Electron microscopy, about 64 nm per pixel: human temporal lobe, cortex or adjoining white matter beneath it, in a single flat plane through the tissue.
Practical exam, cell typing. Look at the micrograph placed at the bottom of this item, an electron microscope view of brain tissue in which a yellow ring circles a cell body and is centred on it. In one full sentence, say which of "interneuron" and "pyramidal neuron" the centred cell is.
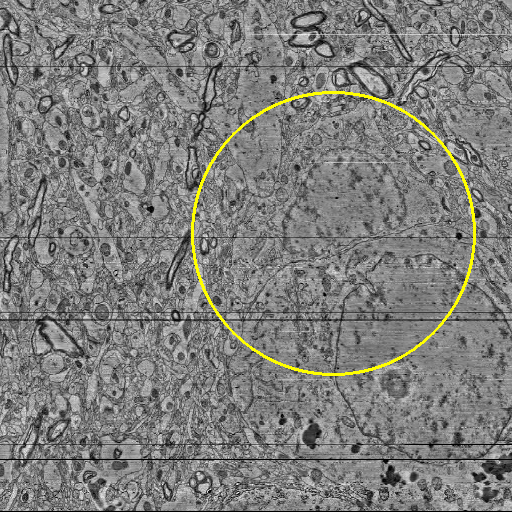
Given the options, an interneuron fits the cell whose body the yellow ring is centred on.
